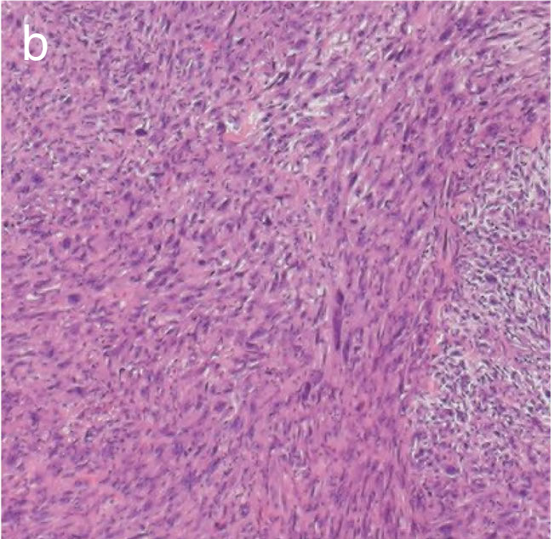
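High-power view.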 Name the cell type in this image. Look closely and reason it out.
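The cells are elongated, with tapering ends. The nuclei are oval to cigar-shaped and lie along the long axis of the cells. The cells run in bundles that cross one another. So: Spindle cells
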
